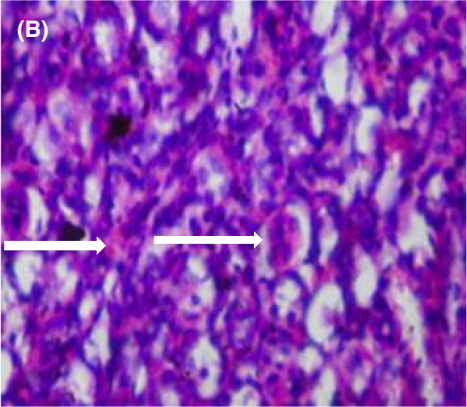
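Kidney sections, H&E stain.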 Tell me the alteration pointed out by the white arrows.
local hemorrhage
